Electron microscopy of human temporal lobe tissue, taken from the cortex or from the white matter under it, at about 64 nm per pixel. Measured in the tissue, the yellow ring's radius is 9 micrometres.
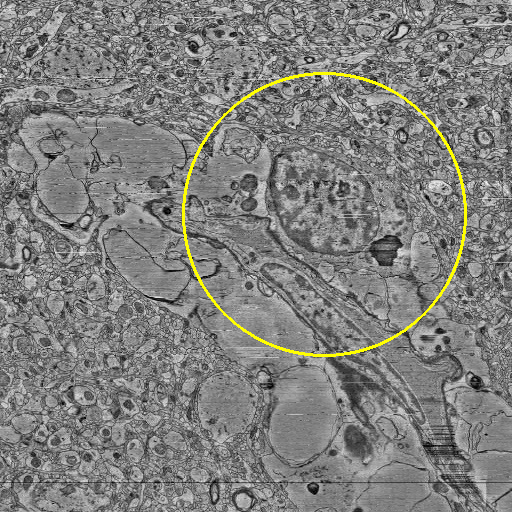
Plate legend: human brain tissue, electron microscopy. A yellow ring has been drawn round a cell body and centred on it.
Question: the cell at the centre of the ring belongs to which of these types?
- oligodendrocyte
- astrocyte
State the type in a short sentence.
The cell in the middle of the ring is an oligodendrocyte.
